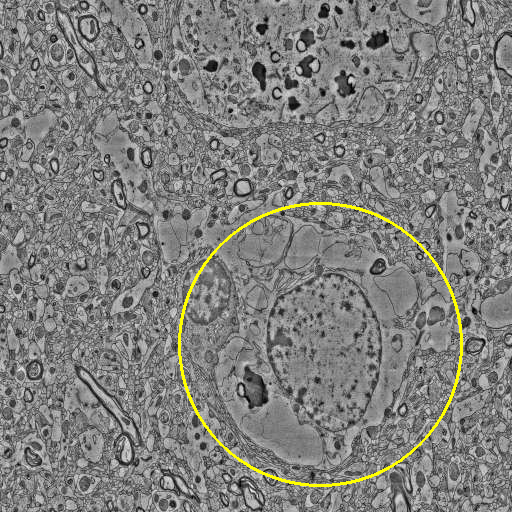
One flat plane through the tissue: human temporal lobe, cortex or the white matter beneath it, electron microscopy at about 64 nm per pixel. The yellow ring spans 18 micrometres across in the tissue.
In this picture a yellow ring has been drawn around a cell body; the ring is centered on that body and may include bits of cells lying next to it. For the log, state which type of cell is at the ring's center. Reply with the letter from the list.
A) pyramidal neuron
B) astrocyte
B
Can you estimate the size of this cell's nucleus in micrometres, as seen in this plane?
About 10 by 7 micrometers for the nucleus, in this plane.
